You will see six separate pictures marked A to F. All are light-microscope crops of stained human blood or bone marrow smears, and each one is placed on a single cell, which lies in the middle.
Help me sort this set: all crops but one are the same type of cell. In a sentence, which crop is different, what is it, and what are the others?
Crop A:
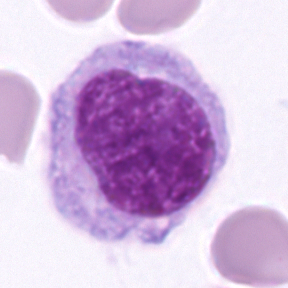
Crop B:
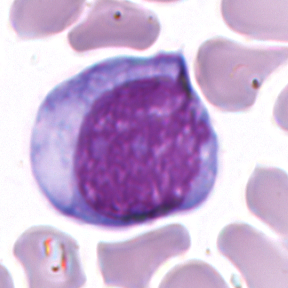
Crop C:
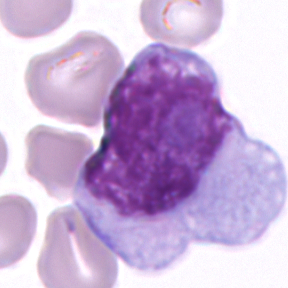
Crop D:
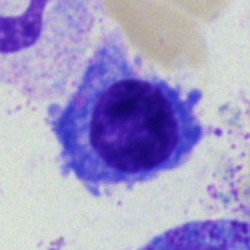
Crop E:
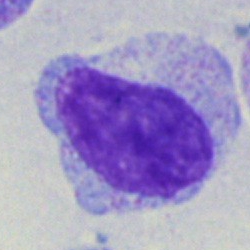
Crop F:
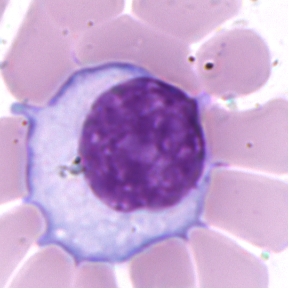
Shown in crop E is a myelocyte, in contrast to the plasma cells of all the other crops.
